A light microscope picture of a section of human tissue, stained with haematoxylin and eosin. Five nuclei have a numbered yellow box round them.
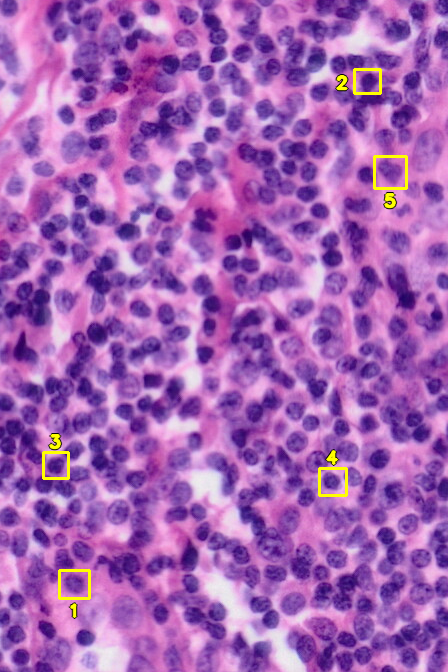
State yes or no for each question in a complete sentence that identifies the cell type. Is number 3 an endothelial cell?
No, cell 3 is classified as a small lymphocyte rather than an endothelial cell.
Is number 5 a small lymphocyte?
No, the marker 5 sits on an endothelial cell, not on a small lymphocyte.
